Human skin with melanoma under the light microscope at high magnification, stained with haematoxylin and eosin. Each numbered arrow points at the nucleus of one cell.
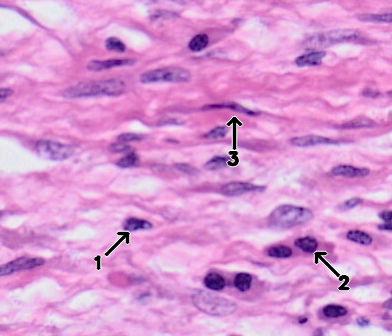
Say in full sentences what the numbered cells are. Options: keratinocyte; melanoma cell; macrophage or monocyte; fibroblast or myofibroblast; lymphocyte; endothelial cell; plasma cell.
Cell 1 is a lymphocyte, cell 2 is a plasma cell and cell 3 is a fibroblast or myofibroblast.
